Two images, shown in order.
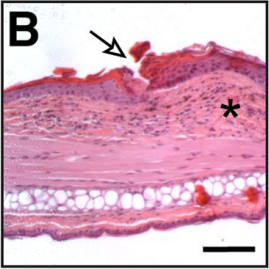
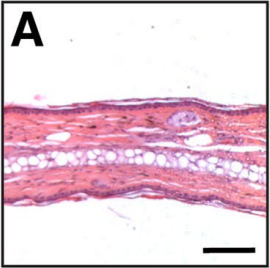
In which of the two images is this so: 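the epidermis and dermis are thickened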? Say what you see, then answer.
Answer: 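First image: the surface epithelium and the layer beneath it are broad and densely cellular. Second image: the surface epithelium is a thin band over a thin connective layer. So: the first image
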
